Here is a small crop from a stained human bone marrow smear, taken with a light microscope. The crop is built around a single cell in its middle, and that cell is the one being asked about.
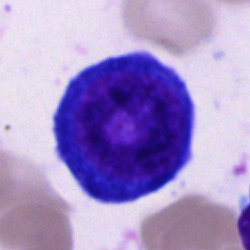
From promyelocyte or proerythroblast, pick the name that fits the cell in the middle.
proerythroblast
